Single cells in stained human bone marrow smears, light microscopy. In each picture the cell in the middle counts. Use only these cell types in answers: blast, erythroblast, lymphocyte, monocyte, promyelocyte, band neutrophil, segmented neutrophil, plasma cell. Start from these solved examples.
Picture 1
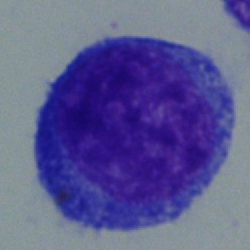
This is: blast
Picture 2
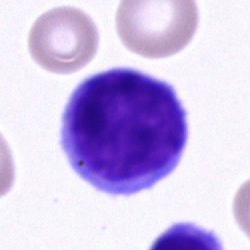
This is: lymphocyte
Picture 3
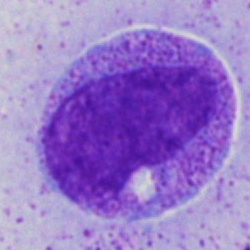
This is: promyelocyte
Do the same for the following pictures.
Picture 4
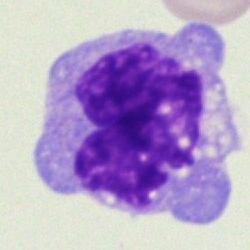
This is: monocyte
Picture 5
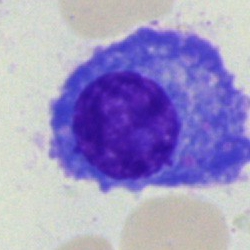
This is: plasma cell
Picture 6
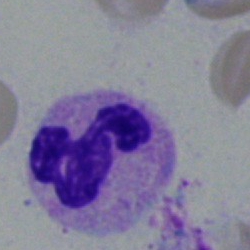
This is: segmented neutrophil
